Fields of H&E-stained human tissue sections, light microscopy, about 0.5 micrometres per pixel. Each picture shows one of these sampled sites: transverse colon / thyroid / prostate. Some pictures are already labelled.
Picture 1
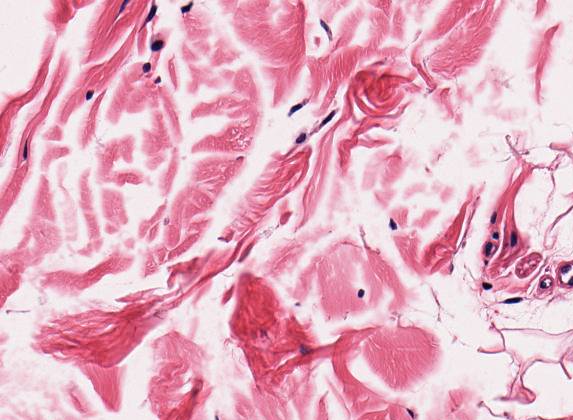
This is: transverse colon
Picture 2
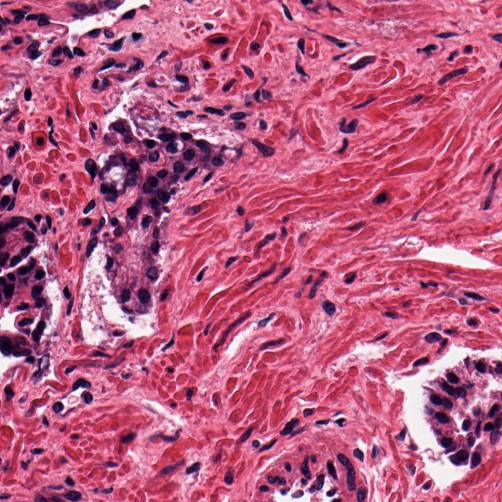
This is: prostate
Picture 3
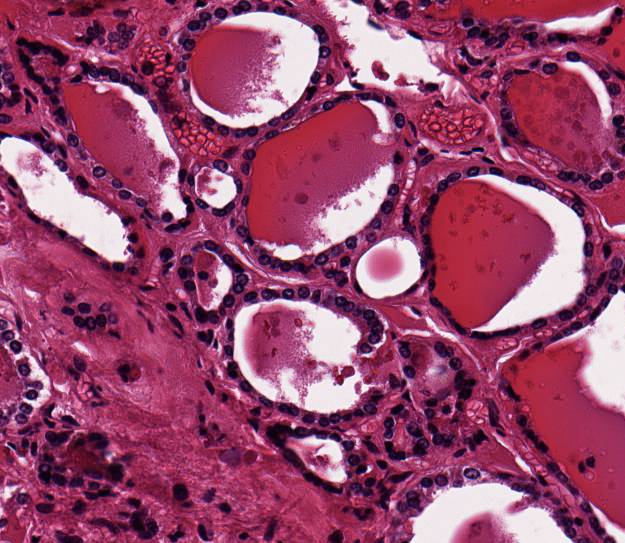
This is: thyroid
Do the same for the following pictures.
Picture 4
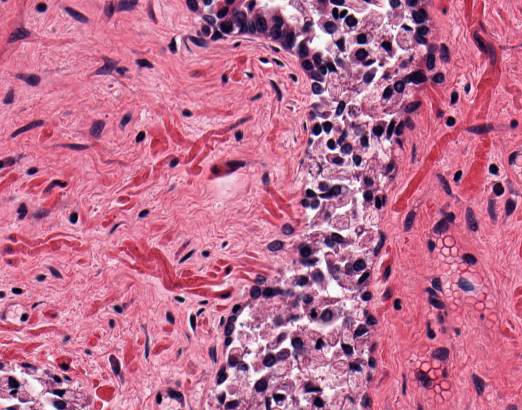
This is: prostate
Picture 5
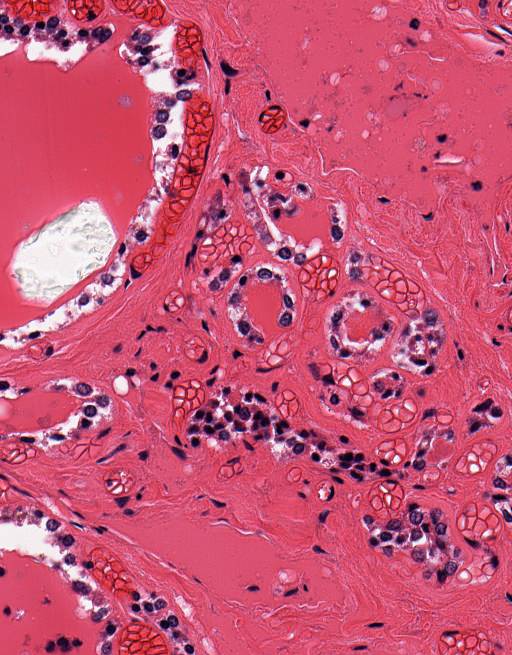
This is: thyroid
